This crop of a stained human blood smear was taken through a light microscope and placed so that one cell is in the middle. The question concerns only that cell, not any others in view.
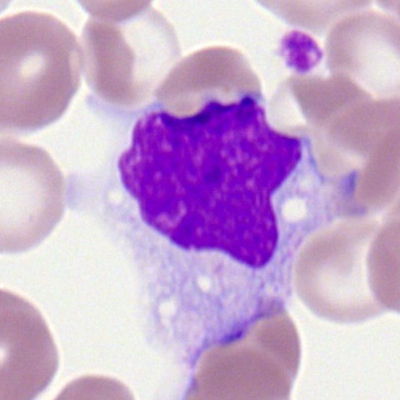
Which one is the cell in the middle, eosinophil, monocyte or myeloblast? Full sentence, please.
As for the central cell, it is a monocyte.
